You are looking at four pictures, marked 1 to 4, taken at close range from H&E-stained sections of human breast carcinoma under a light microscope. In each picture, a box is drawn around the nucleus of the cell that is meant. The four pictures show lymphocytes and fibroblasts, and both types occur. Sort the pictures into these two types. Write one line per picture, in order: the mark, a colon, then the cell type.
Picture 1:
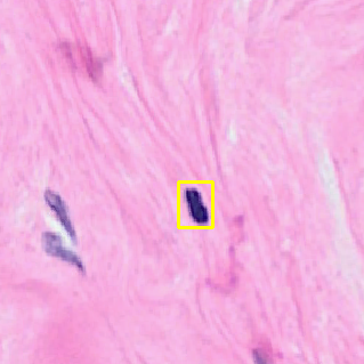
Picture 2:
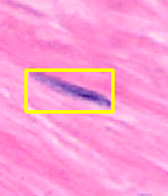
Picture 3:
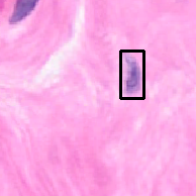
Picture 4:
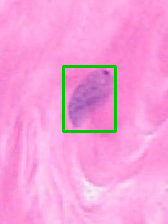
1: lymphocyte
2: fibroblast
3: fibroblast
4: fibroblast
